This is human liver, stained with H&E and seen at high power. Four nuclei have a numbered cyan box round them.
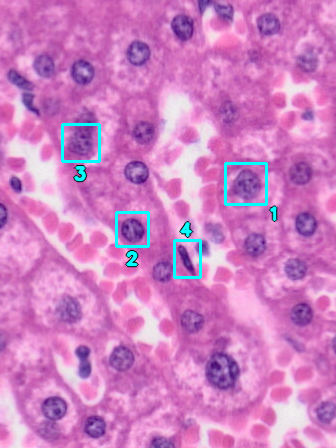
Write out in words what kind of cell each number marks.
Cells 1, 2 and 3 are hepatocytes. Cell 4 is a fibroblast or stellate cell.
